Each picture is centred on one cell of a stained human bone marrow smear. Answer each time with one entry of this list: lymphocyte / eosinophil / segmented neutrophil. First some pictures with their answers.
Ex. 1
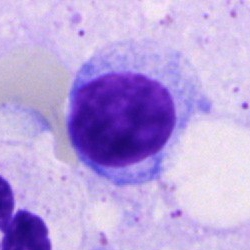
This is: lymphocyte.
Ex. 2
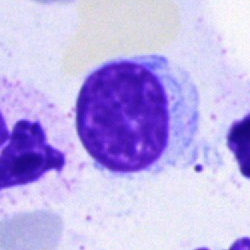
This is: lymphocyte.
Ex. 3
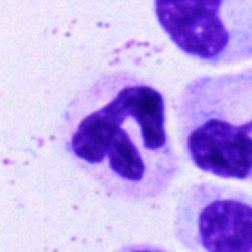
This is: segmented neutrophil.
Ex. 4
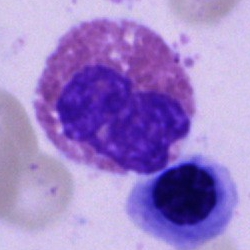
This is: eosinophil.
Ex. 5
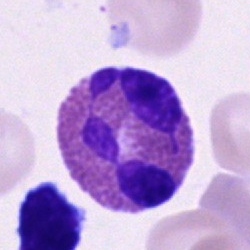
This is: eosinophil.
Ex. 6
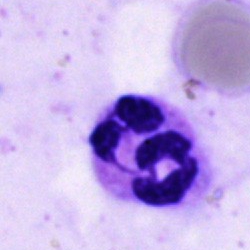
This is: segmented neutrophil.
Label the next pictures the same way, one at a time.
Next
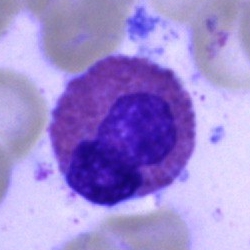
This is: eosinophil.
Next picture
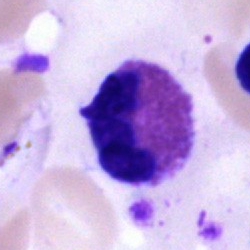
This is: eosinophil.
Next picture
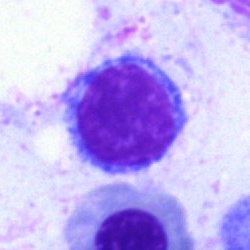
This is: lymphocyte.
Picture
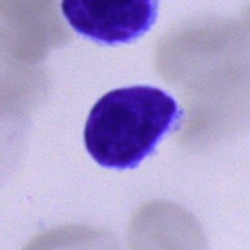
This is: lymphocyte.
